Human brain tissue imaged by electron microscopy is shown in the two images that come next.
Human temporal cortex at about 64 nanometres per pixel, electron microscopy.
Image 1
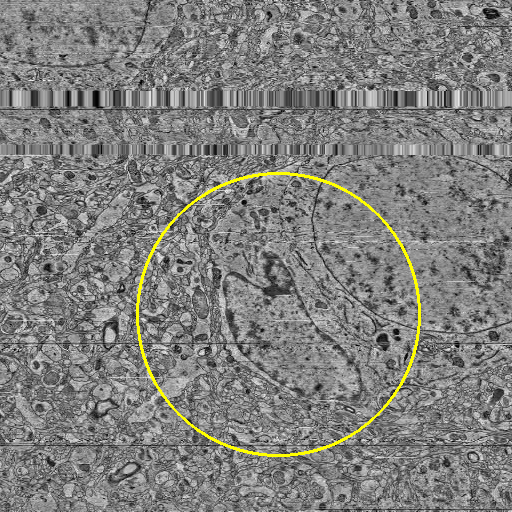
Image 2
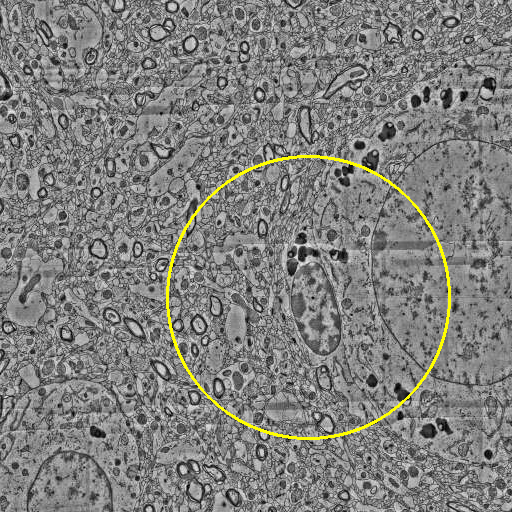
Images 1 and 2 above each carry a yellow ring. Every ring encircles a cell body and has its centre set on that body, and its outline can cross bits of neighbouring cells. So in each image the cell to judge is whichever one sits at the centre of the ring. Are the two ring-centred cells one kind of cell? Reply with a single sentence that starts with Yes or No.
Yes, in Image 1 and Image 2 the cells at the centres of their rings fall into one type.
